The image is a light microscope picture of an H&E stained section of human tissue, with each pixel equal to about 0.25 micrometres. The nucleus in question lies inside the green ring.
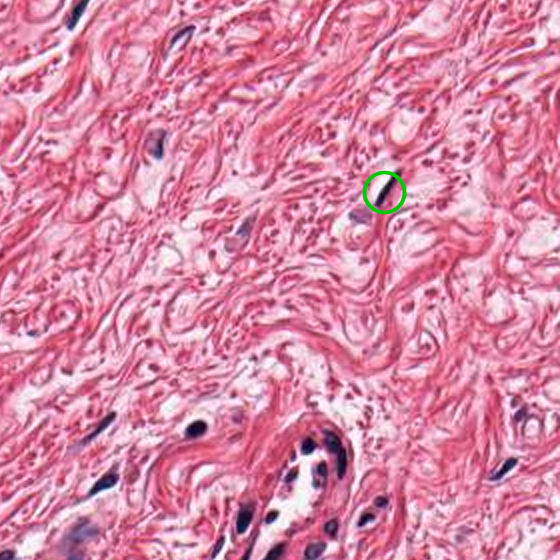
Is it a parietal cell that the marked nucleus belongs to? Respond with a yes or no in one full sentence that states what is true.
No, the marked nucleus is found in a supporting cell instead of in a parietal cell.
